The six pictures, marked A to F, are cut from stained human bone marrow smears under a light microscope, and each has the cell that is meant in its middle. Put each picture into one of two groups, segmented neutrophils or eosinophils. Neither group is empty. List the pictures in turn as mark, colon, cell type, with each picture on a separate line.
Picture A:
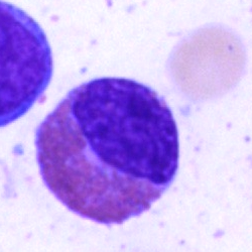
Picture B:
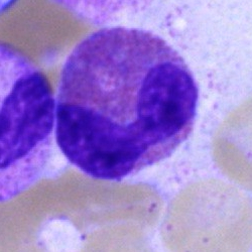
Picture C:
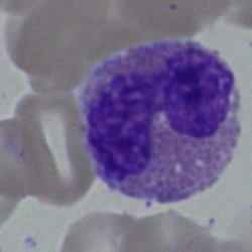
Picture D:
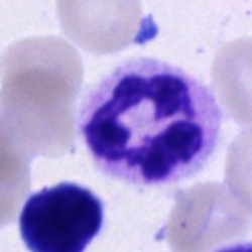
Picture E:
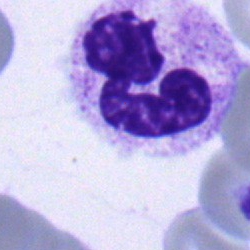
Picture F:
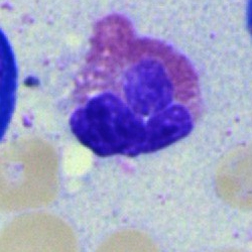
A: eosinophil
B: eosinophil
C: eosinophil
D: segmented neutrophil
E: segmented neutrophil
F: eosinophil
